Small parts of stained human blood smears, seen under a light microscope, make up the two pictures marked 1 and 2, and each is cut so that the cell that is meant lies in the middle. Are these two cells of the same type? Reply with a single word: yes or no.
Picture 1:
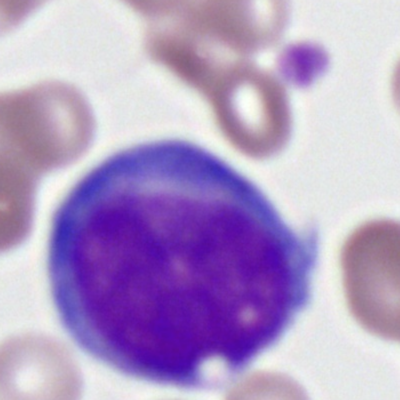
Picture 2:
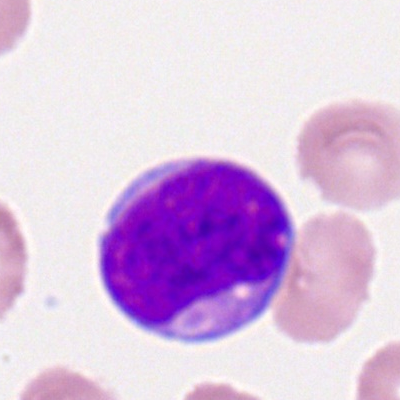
yes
